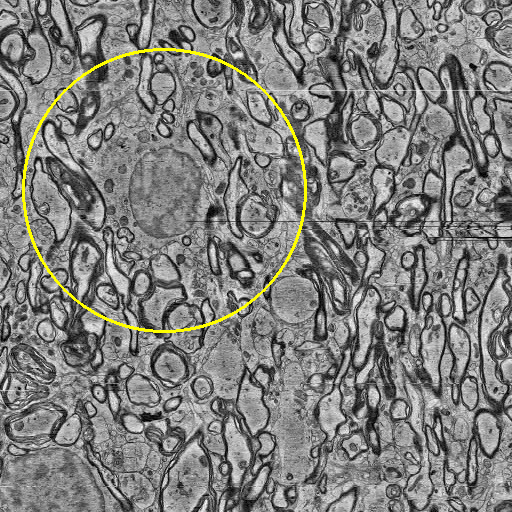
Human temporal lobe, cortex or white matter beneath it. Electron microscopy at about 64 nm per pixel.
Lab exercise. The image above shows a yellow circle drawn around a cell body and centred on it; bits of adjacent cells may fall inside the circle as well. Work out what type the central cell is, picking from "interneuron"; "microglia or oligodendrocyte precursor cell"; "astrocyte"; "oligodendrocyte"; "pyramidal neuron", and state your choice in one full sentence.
In the image above, the cell at the centre of the yellow circle is an oligodendrocyte.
